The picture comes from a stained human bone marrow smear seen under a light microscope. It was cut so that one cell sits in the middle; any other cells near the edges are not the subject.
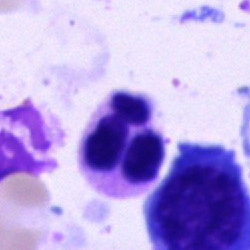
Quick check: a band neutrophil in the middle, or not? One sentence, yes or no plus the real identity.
No, looking at the central cell, it is a segmented neutrophil rather than a band neutrophil.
